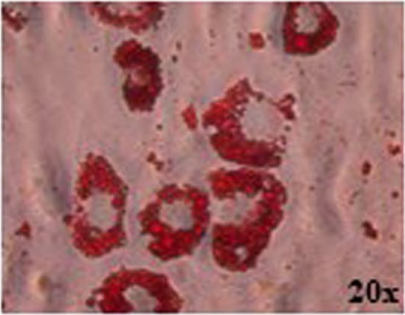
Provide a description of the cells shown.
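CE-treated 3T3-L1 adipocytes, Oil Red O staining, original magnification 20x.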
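The droplet-containing cells hold many small, dark red lipid droplets, mostly arranged in a ring around a central unstained region, likely where the nucleus lies. Large droplets are scarce. The red-stained cells are rounded or oval and scattered across the field, separated by flat, pale, unstained cells whose outlines are faintly visible on the pinkish background. Small isolated red dots lie between cells.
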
